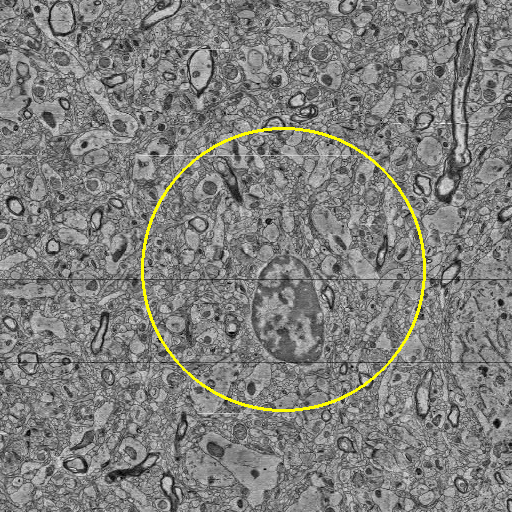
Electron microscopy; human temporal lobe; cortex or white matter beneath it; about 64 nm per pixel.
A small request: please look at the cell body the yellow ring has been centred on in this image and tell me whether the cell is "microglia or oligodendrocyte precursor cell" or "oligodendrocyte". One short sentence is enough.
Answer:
The cell marked by the ring is a microglial cell or oligodendrocyte precursor cell.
